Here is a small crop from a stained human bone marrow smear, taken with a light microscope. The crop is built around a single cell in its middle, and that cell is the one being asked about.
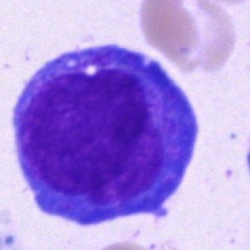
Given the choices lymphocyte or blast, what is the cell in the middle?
blast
